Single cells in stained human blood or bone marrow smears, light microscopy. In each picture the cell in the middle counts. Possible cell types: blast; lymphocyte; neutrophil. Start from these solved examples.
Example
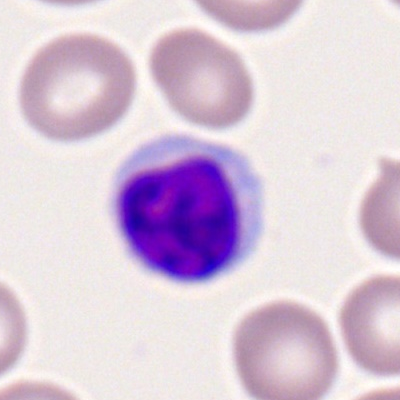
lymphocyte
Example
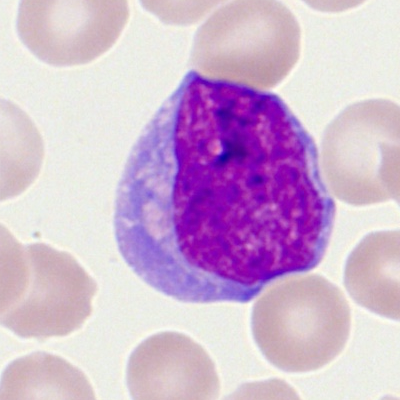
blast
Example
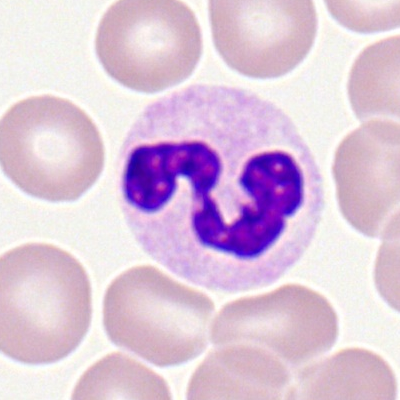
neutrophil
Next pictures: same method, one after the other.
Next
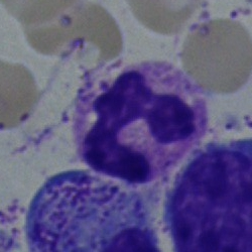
neutrophil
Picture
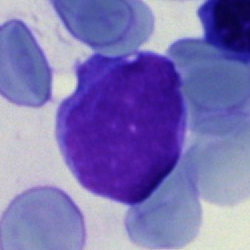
blast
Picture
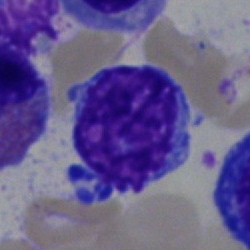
lymphocyte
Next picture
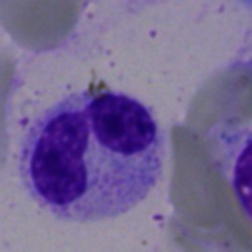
neutrophil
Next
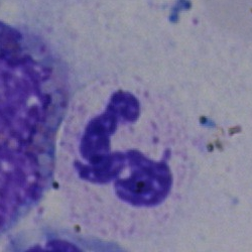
neutrophil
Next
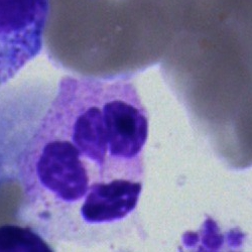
neutrophil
